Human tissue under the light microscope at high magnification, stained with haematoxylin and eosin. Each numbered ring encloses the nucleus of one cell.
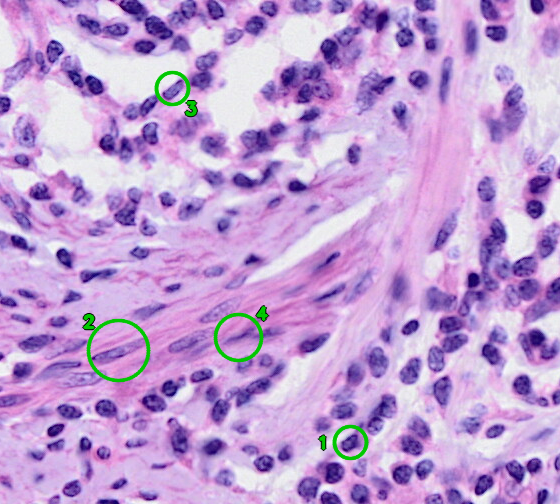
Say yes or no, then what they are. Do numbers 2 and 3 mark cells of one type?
No, in contrast to cell 3, which is a lymphocyte, cell 2 is a smooth muscle cell.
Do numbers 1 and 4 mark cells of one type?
No, cell 1 is a lymphocyte, and cell 4, in contrast, is a smooth muscle cell.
